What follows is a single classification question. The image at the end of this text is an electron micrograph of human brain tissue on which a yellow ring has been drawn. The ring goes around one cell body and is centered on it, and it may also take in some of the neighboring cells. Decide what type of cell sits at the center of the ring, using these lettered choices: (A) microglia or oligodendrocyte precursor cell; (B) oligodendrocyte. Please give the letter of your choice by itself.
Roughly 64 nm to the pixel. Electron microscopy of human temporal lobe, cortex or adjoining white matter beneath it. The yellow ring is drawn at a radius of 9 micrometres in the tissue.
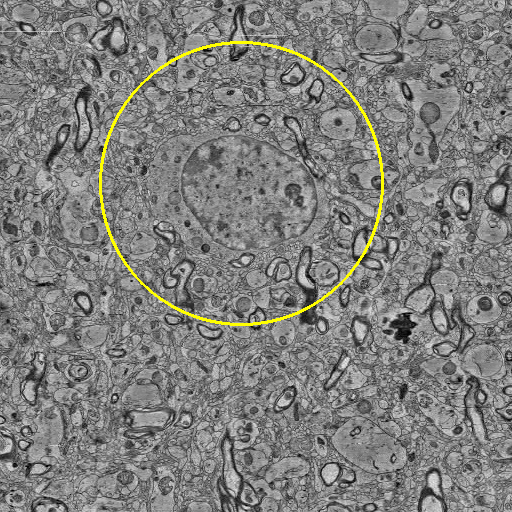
B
